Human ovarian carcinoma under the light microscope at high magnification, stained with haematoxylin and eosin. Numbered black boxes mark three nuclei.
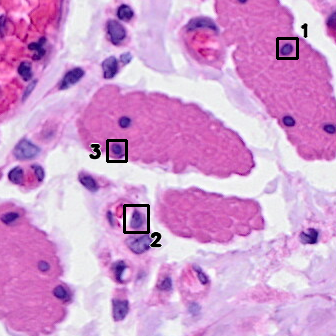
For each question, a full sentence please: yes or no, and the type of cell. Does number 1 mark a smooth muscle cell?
Yes, that is right: the cell labelled 1 is a smooth muscle cell.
